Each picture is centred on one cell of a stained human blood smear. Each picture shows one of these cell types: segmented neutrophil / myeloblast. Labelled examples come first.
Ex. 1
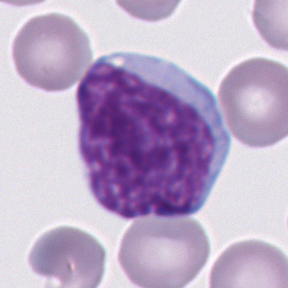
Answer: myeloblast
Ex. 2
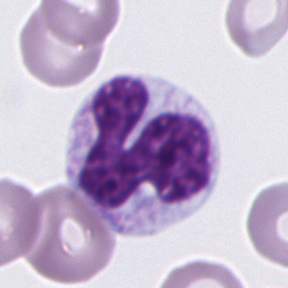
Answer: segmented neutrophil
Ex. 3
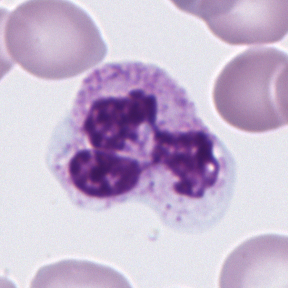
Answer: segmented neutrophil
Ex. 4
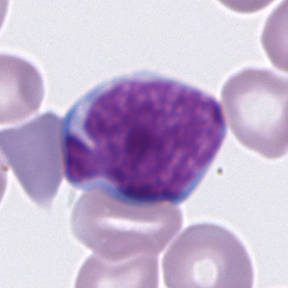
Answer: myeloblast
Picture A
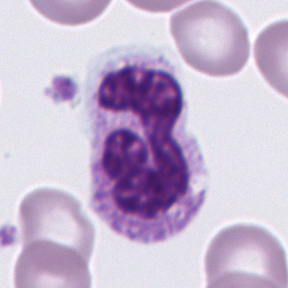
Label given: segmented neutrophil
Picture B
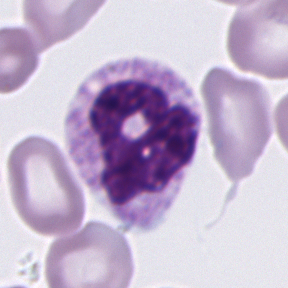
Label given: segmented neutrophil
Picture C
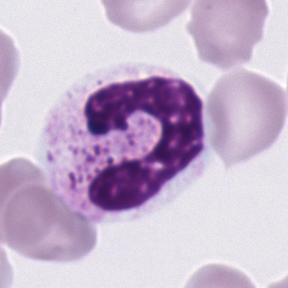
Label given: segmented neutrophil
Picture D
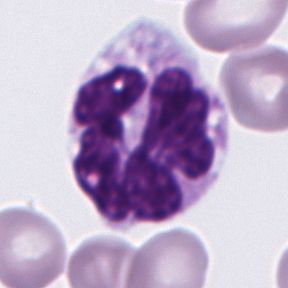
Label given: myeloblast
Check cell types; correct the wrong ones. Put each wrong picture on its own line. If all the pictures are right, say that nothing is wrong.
Wrong: D (myeloblast); correct: segmented neutrophil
